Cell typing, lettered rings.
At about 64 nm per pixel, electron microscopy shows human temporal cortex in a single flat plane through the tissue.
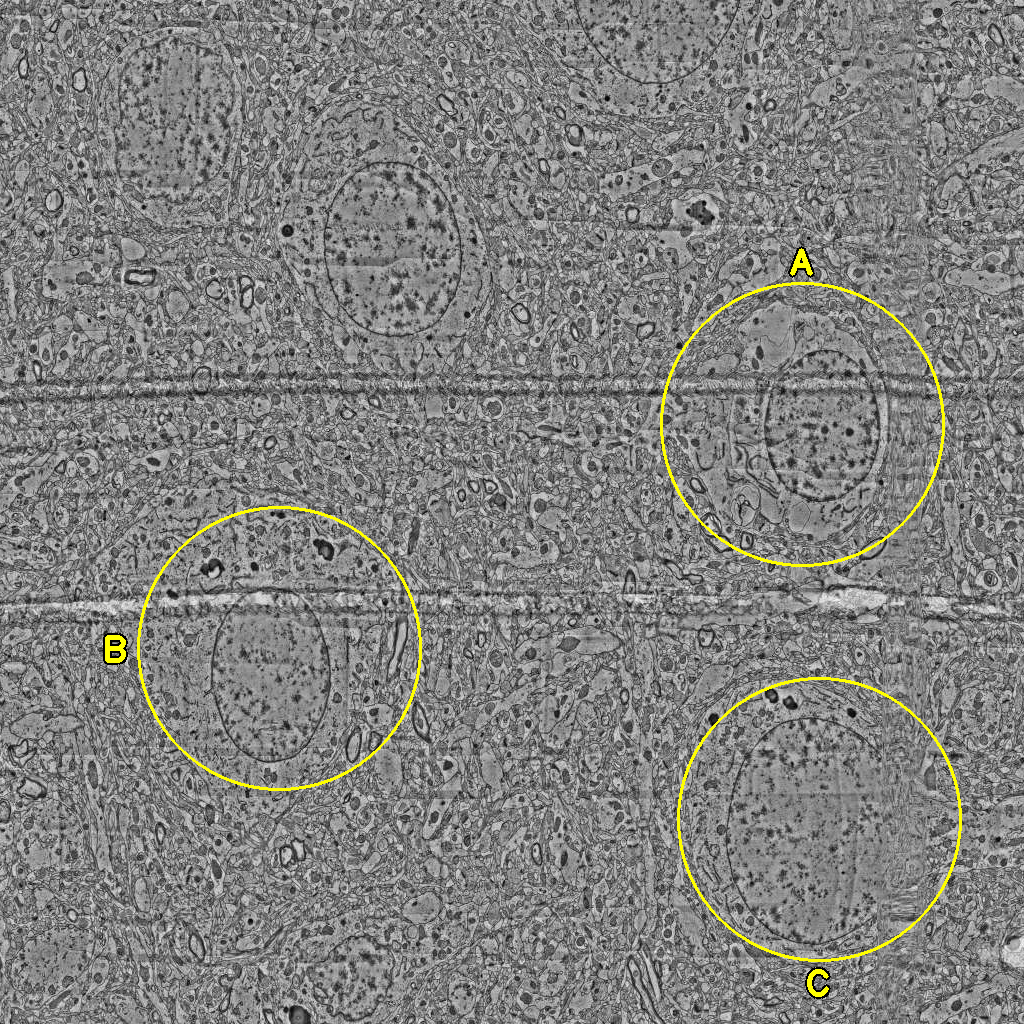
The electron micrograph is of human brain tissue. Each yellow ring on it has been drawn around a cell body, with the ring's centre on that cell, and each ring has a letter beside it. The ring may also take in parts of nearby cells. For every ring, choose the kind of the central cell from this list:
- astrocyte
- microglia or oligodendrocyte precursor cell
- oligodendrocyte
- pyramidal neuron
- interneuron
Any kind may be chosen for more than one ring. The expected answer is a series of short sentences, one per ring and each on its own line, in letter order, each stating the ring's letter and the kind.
For ring A, the centred cell is an astrocyte.
For ring B, the centred cell is a pyramidal neuron.
For ring C, the centred cell is a pyramidal neuron.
